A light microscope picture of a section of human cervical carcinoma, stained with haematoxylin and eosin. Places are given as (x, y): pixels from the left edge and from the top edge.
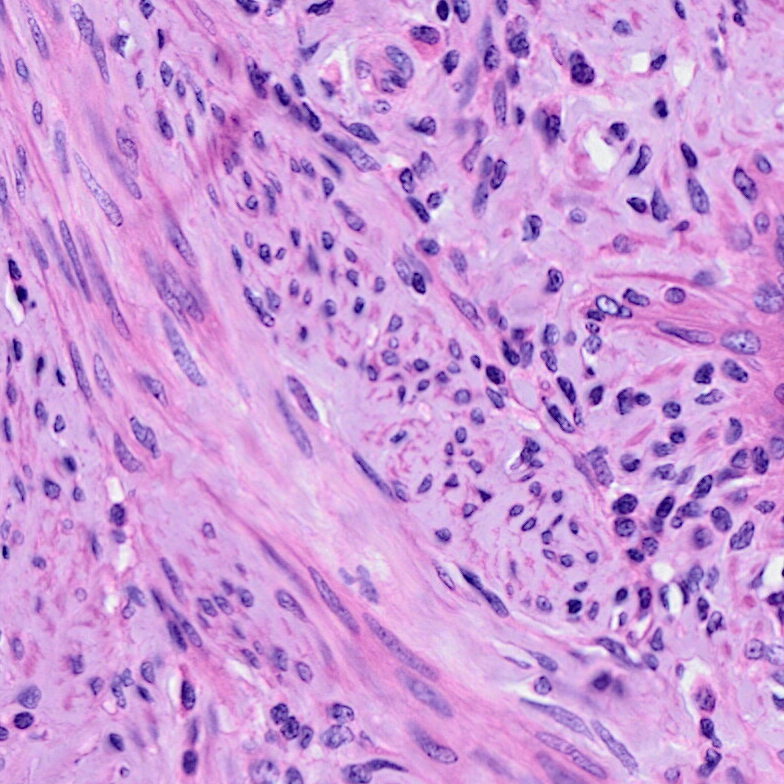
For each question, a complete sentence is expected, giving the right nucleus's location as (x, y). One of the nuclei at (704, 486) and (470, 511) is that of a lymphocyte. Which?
Of the two, the nucleus lying at (704, 486) is the one belonging to a lymphocyte.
